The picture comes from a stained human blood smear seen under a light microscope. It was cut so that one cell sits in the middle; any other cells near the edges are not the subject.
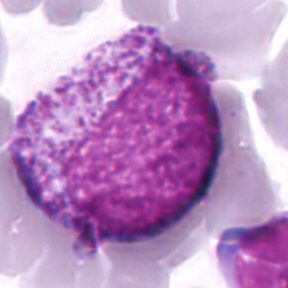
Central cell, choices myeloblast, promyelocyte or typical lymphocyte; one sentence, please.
The center cell of this crop is a promyelocyte.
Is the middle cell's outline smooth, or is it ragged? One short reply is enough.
The margin of this cell is irregular, showing raggedness or projections instead of smoothness.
